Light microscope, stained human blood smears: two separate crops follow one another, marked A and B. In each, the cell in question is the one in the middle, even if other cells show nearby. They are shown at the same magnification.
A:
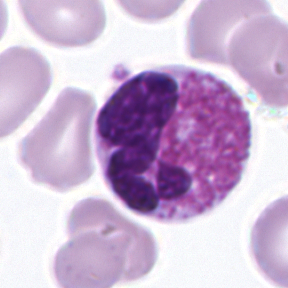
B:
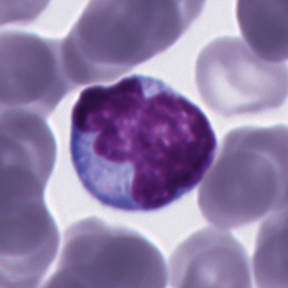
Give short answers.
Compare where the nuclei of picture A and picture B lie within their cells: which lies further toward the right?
B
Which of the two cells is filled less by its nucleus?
A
